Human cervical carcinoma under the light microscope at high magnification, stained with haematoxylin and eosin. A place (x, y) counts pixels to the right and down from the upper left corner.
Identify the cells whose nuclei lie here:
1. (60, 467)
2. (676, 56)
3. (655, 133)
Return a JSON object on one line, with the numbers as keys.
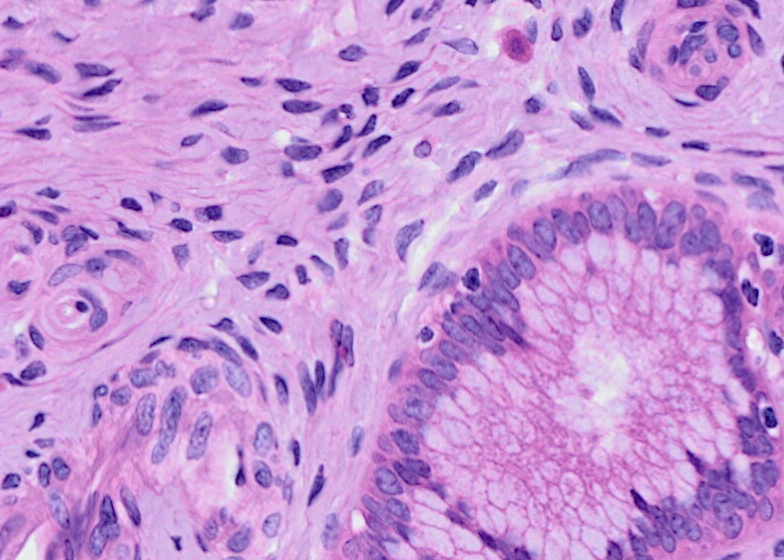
{"1": "smooth muscle cell", "2": "endothelial cell", "3": "fibroblast"}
